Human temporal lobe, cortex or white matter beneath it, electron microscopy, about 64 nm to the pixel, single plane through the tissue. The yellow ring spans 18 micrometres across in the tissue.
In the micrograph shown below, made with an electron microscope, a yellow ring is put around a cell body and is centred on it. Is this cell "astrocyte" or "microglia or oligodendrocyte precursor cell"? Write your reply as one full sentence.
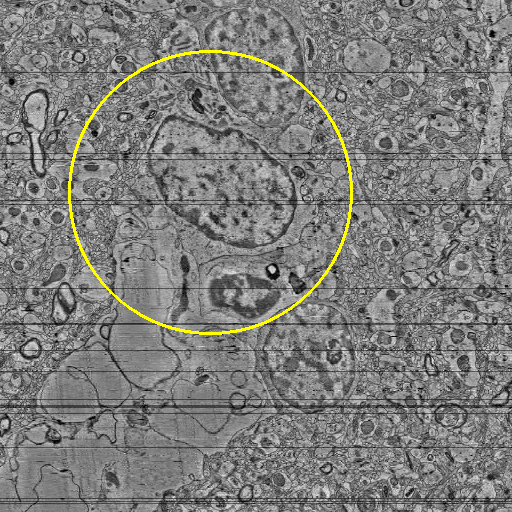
In the micrograph, a microglial cell or oligodendrocyte precursor cell is the cell at the centre of the yellow ring.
